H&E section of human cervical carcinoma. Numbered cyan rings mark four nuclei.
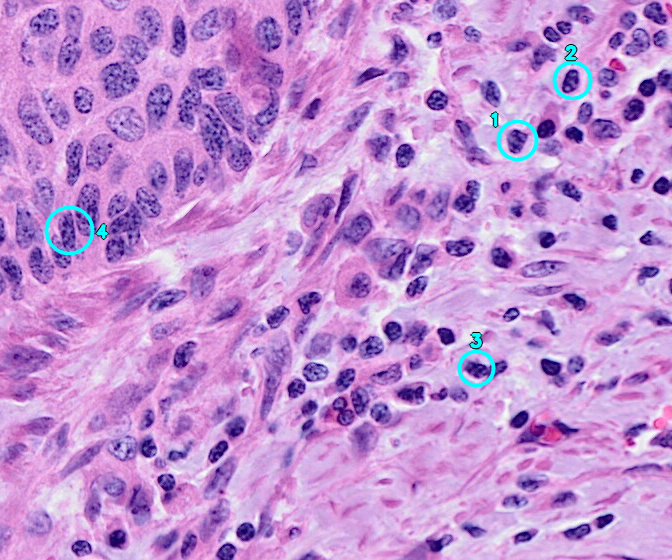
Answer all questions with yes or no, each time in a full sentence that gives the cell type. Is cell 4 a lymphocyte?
No, number 4 is not a lymphocyte; it is a squamous carcinoma cell.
